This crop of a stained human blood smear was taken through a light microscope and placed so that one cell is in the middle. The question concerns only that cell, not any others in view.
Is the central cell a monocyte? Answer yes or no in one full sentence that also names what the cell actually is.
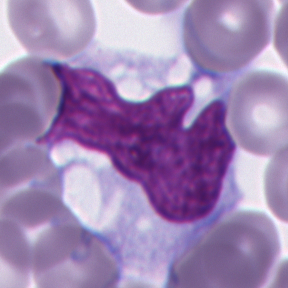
Yes, the crop's central cell is a monocyte.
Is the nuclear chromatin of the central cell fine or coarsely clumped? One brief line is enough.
The chromatin is fine; coarse clumps are not a feature here.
